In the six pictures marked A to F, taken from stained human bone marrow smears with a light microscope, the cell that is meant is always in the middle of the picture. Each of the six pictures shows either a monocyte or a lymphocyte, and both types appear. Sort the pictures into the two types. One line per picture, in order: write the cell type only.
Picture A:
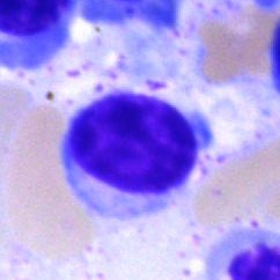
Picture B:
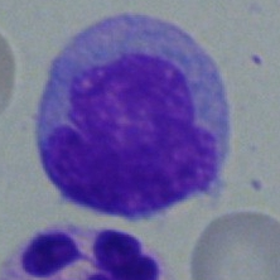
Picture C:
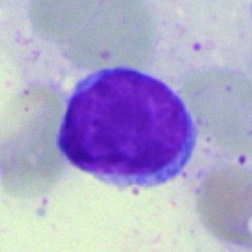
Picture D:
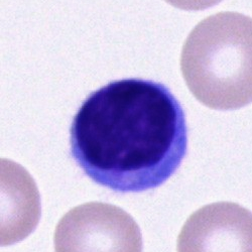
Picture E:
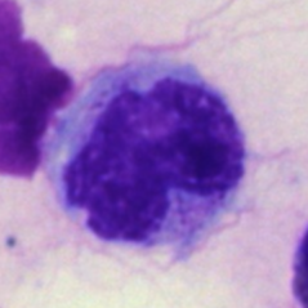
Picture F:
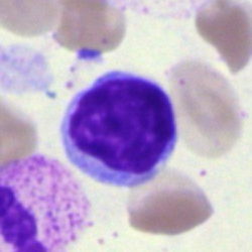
lymphocyte
monocyte
lymphocyte
lymphocyte
monocyte
lymphocyte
